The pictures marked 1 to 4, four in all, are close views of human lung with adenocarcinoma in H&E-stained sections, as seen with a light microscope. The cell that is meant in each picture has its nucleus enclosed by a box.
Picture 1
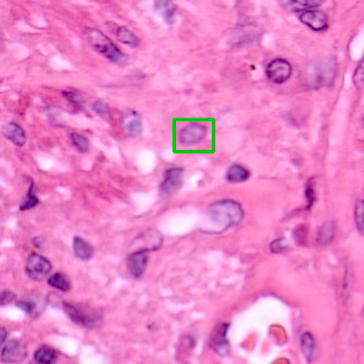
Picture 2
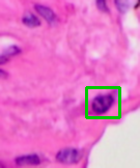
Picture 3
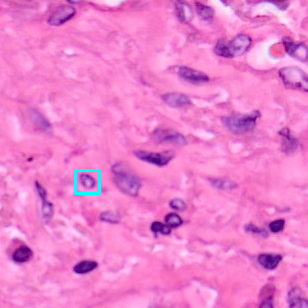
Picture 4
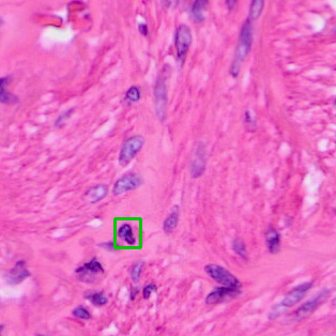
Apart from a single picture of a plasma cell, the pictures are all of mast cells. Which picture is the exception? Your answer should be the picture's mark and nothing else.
2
